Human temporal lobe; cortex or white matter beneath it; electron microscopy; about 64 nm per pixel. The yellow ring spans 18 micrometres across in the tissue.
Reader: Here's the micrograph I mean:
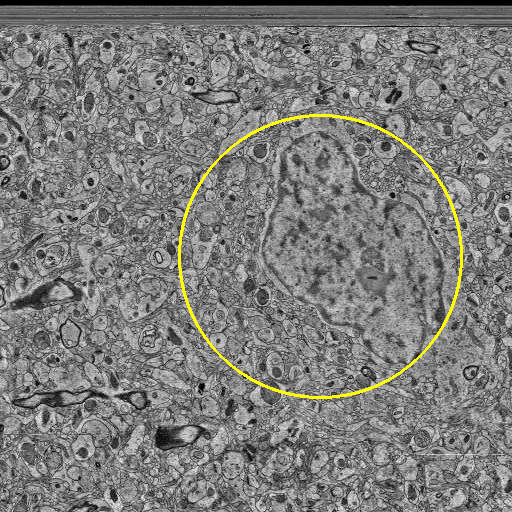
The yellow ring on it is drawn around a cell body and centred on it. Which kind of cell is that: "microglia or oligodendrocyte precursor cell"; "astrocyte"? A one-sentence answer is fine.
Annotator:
The ring is centred on a microglial cell or oligodendrocyte precursor cell.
